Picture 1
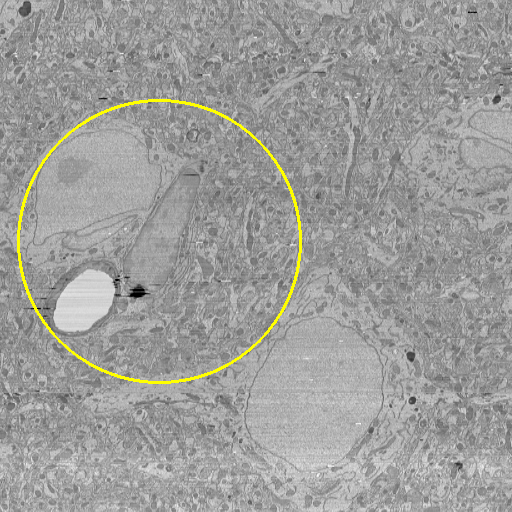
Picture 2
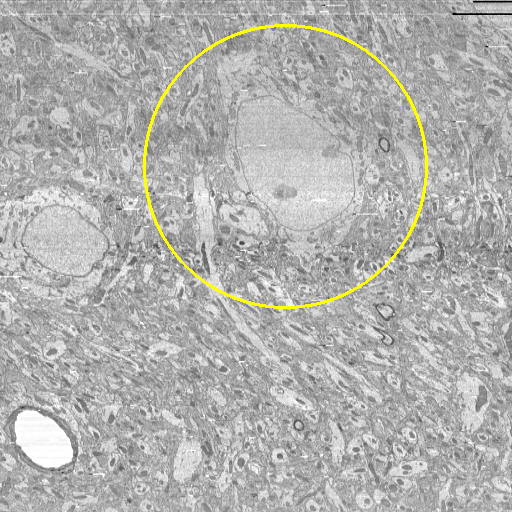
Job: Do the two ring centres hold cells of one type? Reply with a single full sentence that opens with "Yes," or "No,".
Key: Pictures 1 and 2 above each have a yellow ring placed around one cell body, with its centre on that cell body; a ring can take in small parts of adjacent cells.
No, the cells at the two ring centres are of two separate types.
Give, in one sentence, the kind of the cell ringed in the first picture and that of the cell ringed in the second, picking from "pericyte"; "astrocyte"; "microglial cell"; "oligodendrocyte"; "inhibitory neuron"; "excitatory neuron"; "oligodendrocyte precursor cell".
For the first picture it is a microglial cell; for the second, an excitatory neuron.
